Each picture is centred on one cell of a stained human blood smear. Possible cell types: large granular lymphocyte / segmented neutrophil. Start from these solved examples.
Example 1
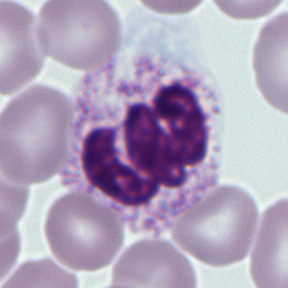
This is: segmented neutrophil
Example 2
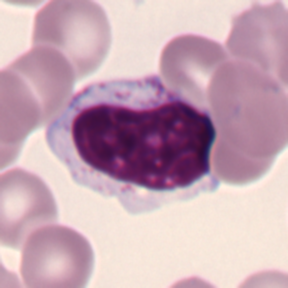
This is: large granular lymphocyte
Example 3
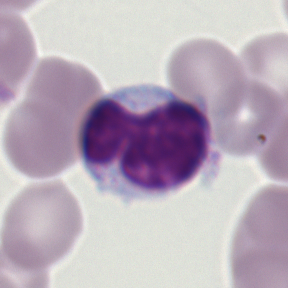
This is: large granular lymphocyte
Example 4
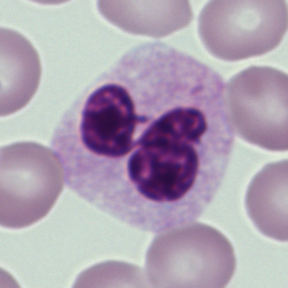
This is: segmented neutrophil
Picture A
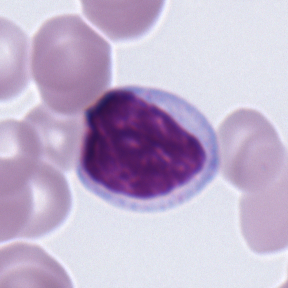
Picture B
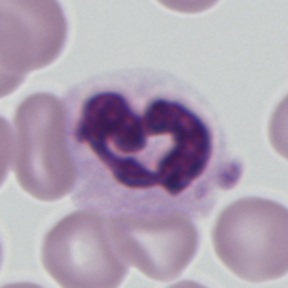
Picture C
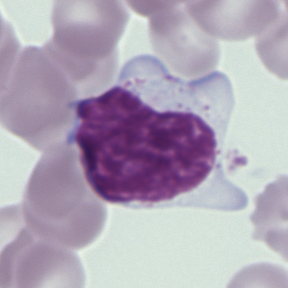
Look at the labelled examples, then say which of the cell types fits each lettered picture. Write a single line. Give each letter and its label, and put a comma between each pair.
A large granular lymphocyte, B segmented neutrophil, C large granular lymphocyte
